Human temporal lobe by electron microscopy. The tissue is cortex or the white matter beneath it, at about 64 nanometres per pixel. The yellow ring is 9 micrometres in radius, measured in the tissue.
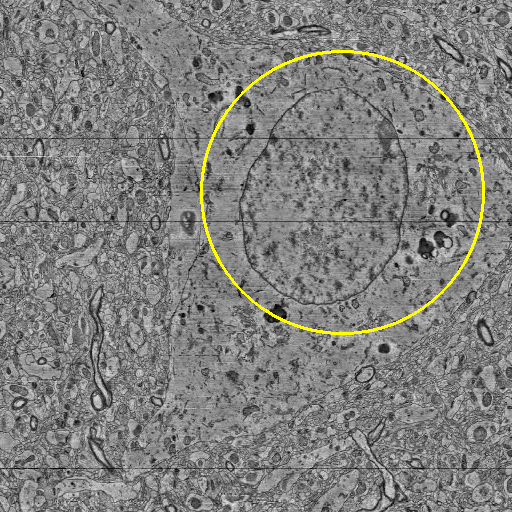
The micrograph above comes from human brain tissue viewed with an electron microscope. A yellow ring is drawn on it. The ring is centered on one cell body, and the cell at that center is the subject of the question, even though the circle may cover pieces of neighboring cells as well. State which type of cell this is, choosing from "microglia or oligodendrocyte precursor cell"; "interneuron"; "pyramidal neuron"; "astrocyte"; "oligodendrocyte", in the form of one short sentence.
The cell the ring is centered on is a pyramidal neuron.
